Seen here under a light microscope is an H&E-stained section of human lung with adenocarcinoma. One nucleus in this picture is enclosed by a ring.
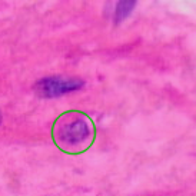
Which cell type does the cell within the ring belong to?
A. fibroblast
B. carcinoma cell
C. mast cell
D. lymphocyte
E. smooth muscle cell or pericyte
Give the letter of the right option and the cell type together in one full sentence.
Since the cell within the ring is a smooth muscle cell or pericyte, the right option is E.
